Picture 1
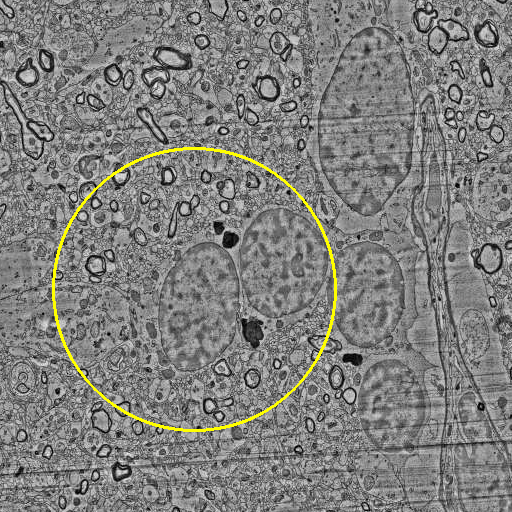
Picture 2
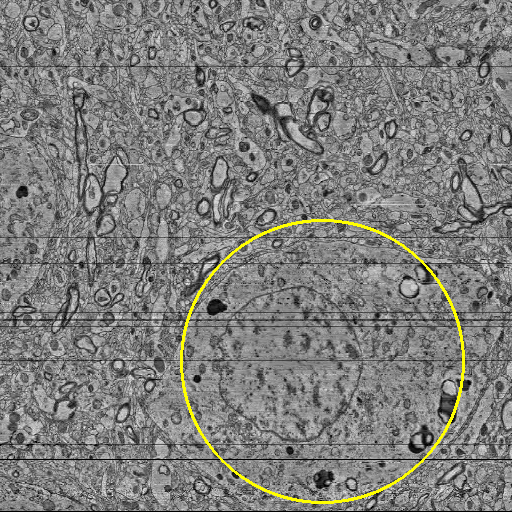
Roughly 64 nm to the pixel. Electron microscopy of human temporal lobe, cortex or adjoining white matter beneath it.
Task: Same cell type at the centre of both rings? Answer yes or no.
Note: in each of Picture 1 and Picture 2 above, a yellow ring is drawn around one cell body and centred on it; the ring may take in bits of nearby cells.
no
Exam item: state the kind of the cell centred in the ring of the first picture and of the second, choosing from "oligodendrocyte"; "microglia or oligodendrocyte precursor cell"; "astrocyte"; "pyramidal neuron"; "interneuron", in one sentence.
The first picture shows an oligodendrocyte at the ring centre and the second shows a pyramidal neuron.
